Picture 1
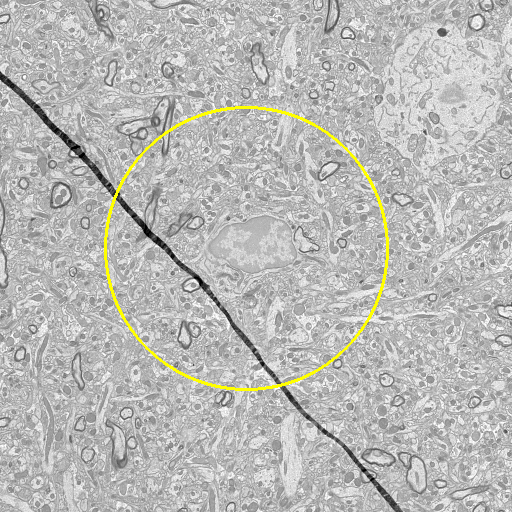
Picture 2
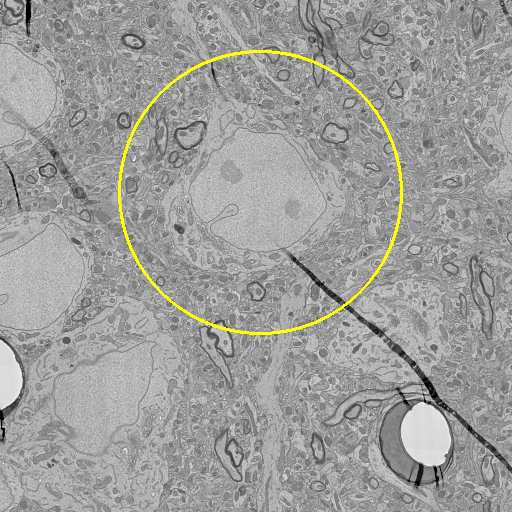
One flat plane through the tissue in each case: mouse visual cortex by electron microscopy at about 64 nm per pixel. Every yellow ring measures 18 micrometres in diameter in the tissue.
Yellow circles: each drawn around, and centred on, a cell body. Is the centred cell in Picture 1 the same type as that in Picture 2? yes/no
no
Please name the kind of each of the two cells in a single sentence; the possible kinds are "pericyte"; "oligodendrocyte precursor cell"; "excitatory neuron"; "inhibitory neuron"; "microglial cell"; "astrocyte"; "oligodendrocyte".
In the first picture the ring is centred on a microglial cell, and in the second on an excitatory neuron.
